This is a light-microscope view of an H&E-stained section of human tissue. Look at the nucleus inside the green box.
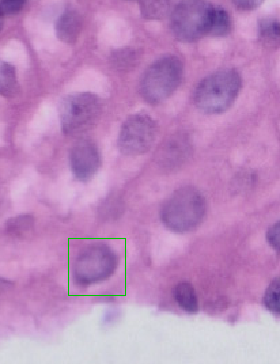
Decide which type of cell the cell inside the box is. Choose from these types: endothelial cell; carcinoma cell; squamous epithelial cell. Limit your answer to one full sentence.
As far as its identity is concerned, the cell inside the box is a squamous epithelial cell.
